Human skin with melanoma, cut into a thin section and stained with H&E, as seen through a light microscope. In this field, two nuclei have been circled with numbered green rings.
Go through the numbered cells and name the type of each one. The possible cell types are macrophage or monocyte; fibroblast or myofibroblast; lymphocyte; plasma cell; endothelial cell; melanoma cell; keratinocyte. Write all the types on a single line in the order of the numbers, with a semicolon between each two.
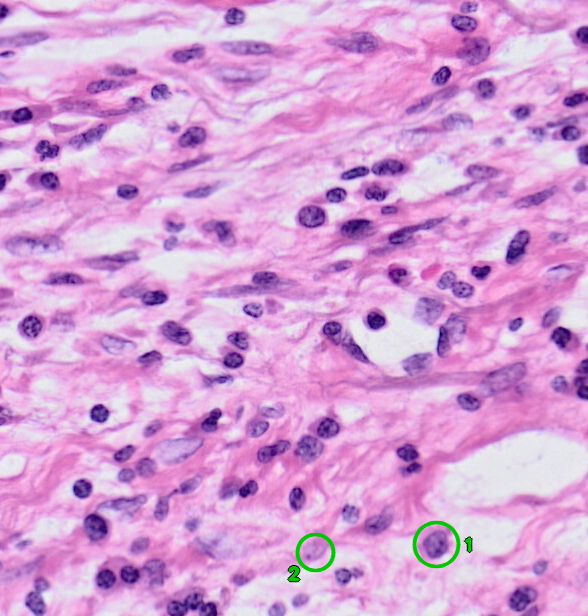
macrophage or monocyte; fibroblast or myofibroblast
